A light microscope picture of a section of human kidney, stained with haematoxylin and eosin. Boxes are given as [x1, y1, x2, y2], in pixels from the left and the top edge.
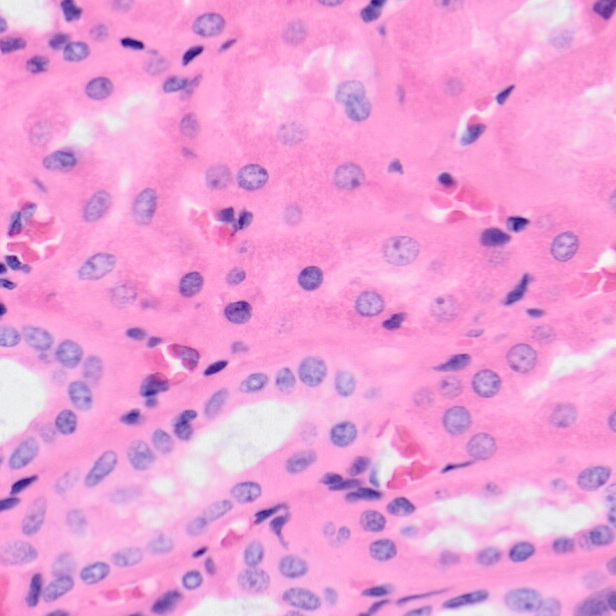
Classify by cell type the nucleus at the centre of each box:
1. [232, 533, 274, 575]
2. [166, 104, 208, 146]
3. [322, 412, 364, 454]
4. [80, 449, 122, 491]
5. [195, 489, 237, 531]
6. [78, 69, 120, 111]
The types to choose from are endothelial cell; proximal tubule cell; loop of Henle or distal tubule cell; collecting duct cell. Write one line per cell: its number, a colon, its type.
1: collecting duct cell
2: proximal tubule cell
3: collecting duct cell
4: collecting duct cell
5: collecting duct cell
6: proximal tubule cell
